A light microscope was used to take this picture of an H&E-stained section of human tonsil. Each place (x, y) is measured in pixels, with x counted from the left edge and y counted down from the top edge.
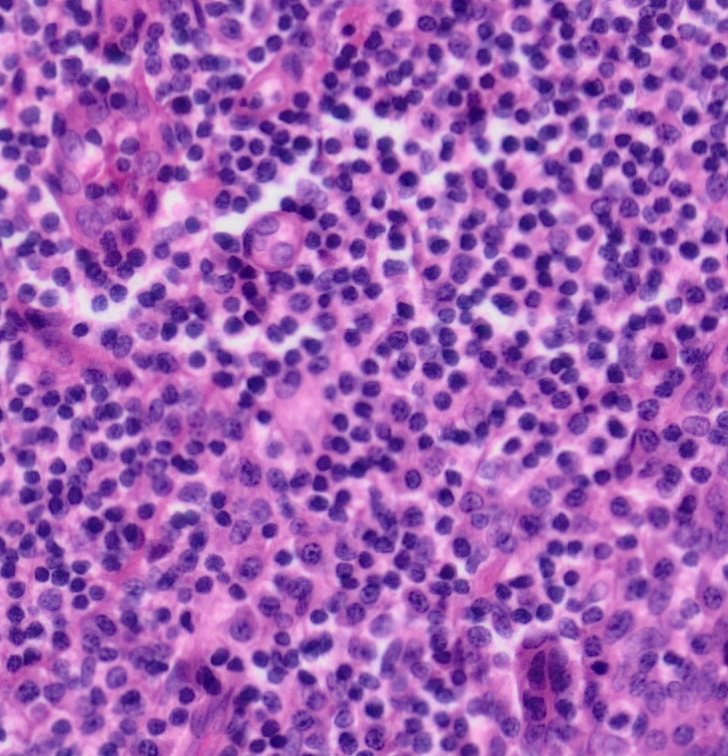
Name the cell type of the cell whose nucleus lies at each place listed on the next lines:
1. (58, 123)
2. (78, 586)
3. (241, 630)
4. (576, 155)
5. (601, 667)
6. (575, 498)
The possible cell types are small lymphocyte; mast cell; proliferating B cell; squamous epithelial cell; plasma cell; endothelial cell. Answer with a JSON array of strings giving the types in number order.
["endothelial cell", "small lymphocyte", "plasma cell", "small lymphocyte", "plasma cell", "plasma cell"]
